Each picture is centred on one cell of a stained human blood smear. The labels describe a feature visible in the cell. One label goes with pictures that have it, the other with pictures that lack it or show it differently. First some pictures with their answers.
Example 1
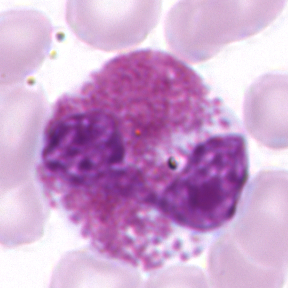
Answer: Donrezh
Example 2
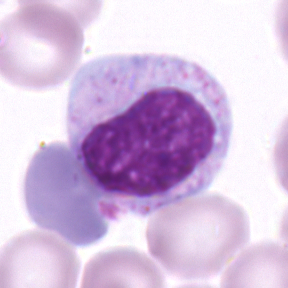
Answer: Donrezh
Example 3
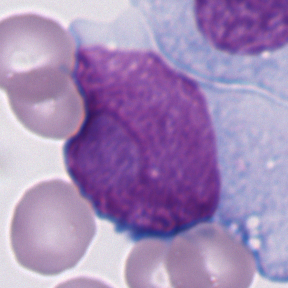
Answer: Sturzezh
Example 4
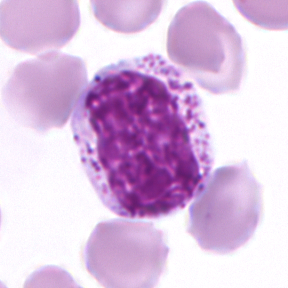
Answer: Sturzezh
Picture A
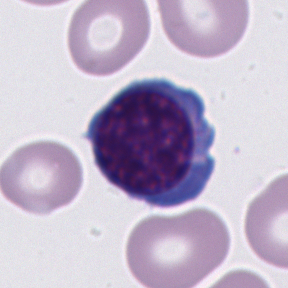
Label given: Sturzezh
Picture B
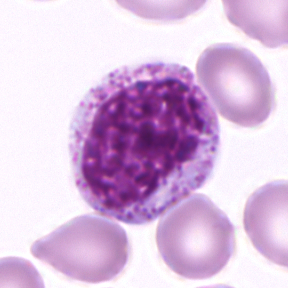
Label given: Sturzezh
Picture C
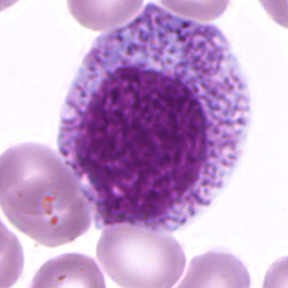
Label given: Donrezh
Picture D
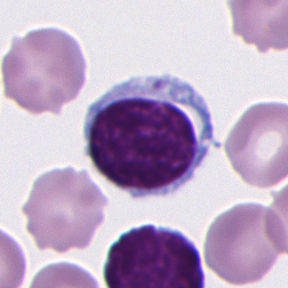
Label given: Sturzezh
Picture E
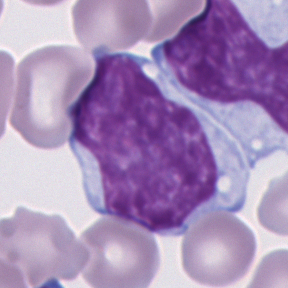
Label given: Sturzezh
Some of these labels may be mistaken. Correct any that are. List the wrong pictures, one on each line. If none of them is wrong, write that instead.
None of the labels needs changing.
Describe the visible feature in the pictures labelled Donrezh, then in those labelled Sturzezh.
Donrezh, abundant cytoplasm; Sturzezh, scant cytoplasm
